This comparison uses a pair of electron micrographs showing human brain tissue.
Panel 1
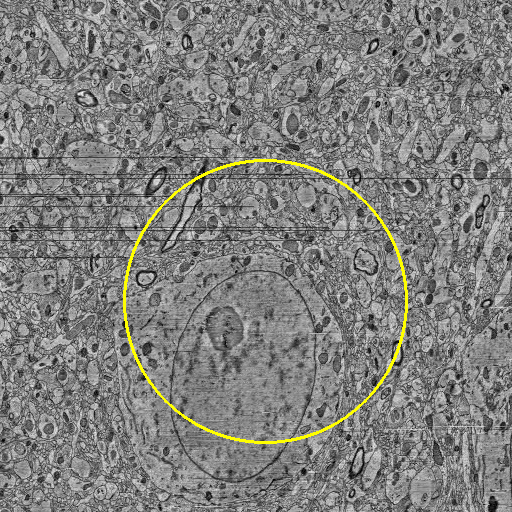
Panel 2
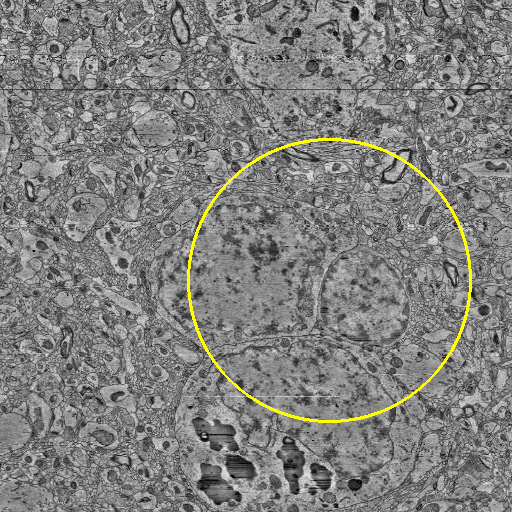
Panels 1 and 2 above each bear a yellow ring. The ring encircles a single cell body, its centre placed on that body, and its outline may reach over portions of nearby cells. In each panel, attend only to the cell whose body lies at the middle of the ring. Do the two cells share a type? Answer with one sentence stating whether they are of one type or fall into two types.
In Panel 1 and Panel 2, the cells at the centres of the rings fall into two types.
